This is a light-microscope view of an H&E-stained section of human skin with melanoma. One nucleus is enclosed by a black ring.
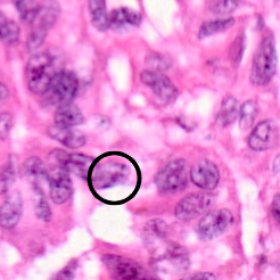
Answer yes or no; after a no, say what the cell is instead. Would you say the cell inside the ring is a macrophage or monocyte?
No, it is a melanoma cell.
